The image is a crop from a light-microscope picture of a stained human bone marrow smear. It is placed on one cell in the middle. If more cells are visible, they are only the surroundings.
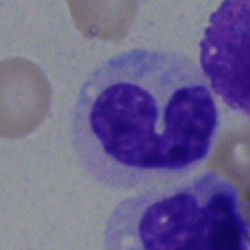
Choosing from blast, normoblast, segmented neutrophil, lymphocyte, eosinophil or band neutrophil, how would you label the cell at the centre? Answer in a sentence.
The cell in the middle of the field of view is a band neutrophil.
